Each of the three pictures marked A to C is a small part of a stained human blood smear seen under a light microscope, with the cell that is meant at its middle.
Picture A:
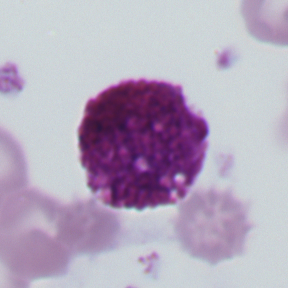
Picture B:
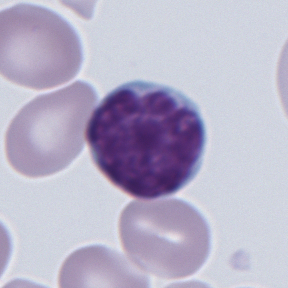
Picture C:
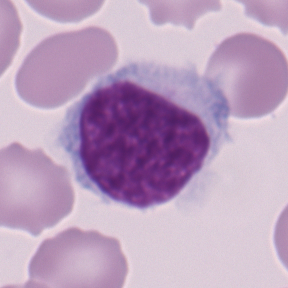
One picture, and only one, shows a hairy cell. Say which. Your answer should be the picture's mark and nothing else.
C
